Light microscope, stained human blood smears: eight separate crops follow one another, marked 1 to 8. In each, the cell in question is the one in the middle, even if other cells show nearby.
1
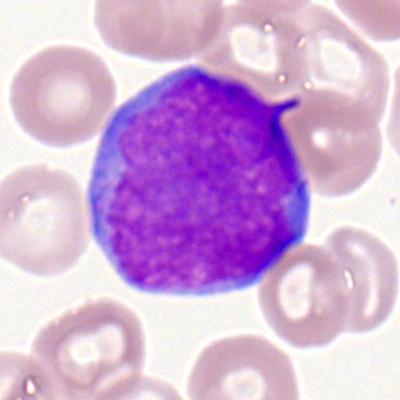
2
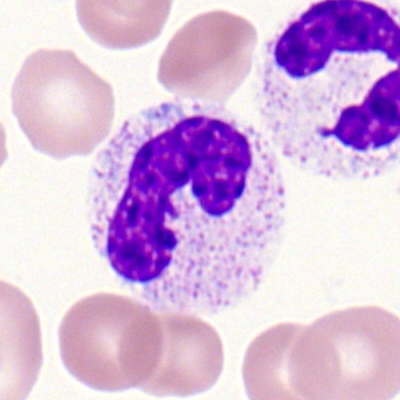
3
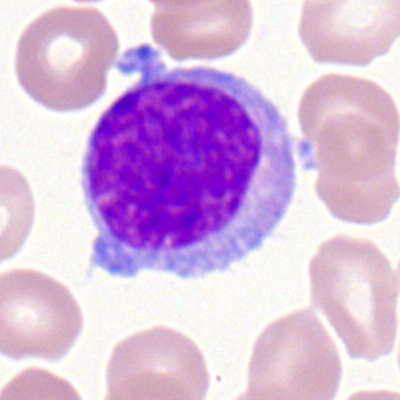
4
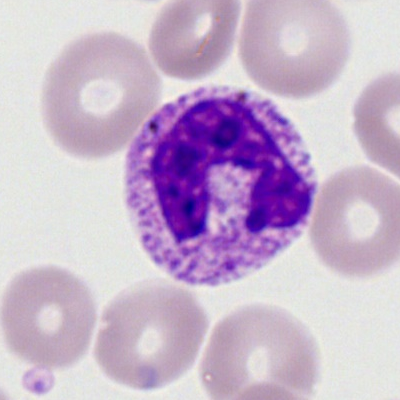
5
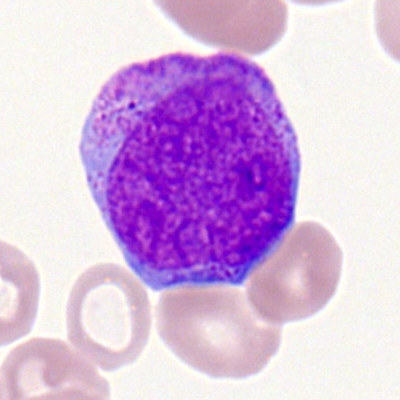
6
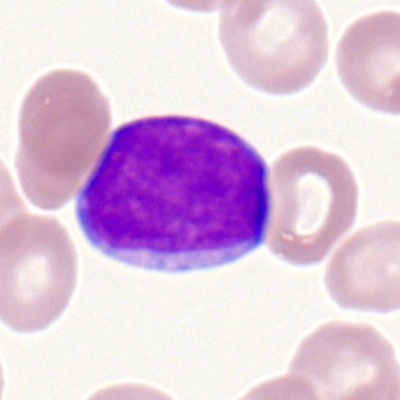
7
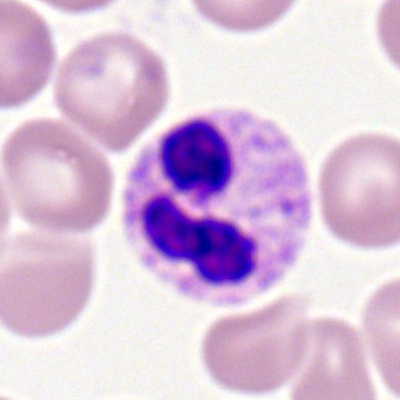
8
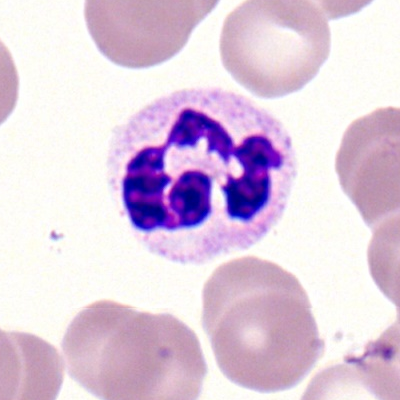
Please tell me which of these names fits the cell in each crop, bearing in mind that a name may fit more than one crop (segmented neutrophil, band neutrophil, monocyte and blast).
1: blast
2: band neutrophil
3: blast
4: segmented neutrophil
5: blast
6: blast
7: segmented neutrophil
8: segmented neutrophil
